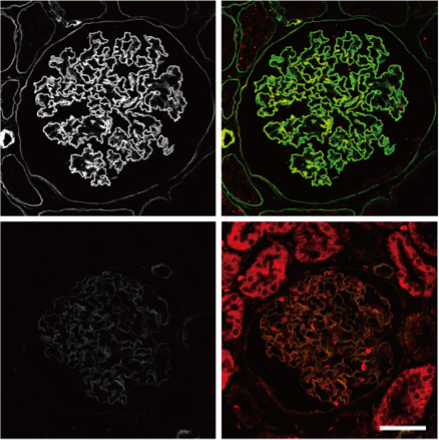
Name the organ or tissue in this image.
Glomeruli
